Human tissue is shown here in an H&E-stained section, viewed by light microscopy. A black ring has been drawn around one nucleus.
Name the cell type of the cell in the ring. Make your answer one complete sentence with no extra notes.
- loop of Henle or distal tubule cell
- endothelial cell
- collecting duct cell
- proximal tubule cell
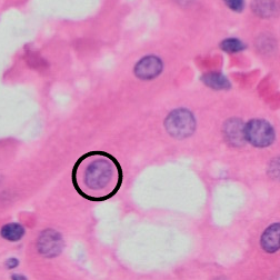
It is as a proximal tubule cell that the cell in the ring is recorded.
